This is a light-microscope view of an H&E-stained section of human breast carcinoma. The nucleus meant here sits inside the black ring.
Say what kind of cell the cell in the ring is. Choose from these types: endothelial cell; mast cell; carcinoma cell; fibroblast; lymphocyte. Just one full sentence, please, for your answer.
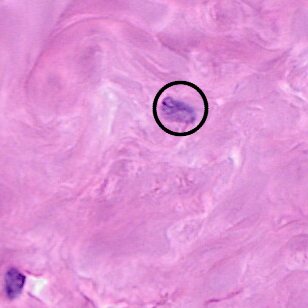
The correct response here is that the cell in the ring is a fibroblast.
